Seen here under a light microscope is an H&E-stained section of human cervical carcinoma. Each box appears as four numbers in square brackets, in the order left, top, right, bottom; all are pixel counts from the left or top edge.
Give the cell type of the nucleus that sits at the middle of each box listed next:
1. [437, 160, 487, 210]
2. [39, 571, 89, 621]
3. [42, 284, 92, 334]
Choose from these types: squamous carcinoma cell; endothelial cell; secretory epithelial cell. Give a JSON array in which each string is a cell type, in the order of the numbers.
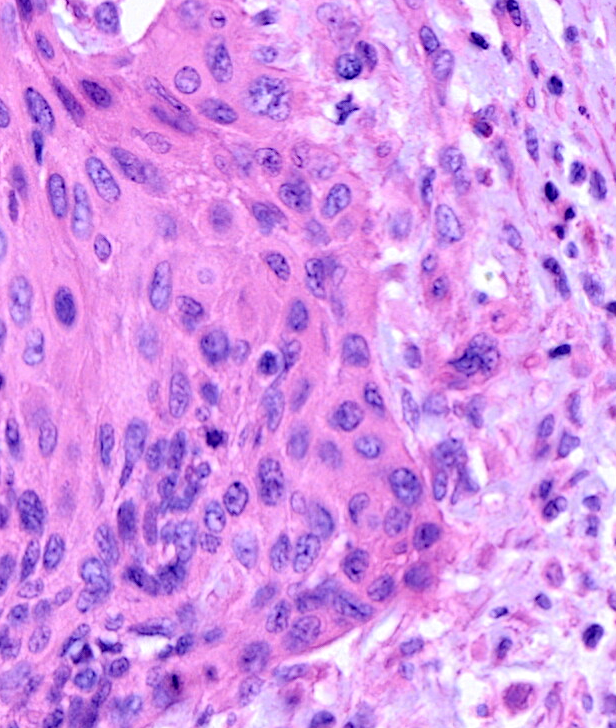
["endothelial cell", "squamous carcinoma cell", "squamous carcinoma cell"]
